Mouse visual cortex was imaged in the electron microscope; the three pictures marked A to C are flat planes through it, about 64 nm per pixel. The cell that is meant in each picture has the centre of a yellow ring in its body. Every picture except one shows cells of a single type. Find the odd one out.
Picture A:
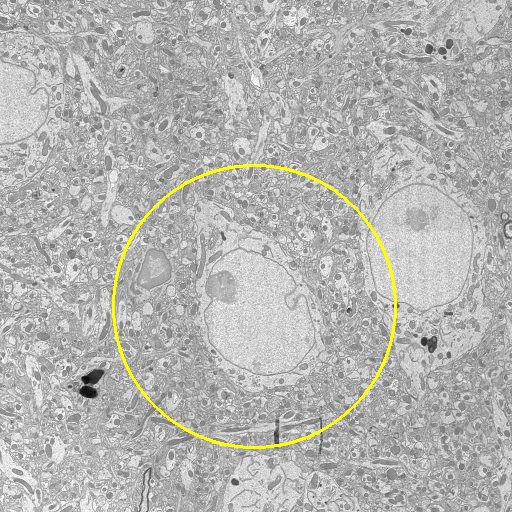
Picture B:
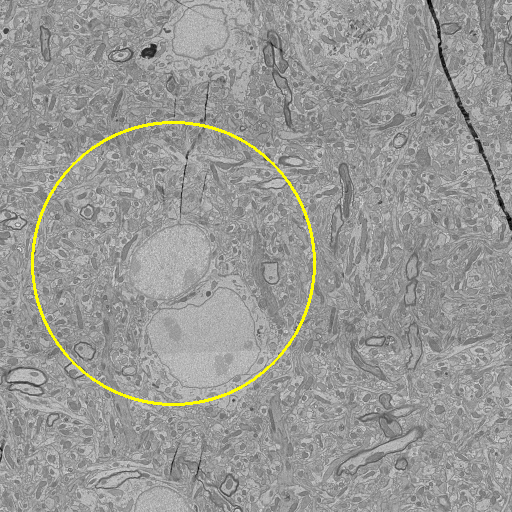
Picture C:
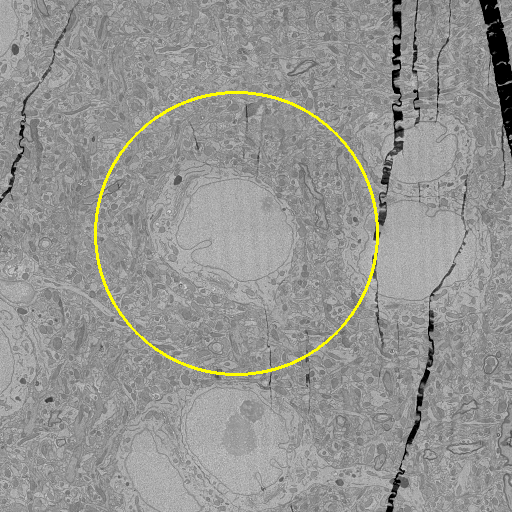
Picture B is the odd one out: it shows an astrocyte, while the others show excitatory neurons.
